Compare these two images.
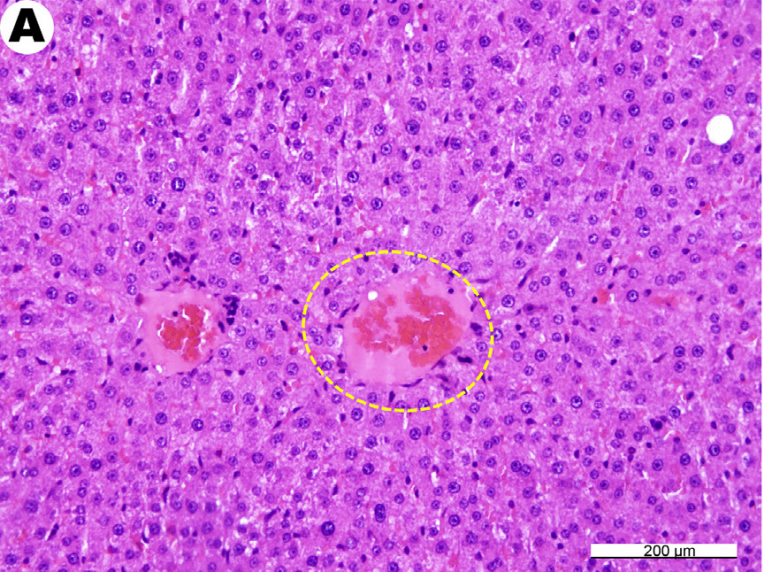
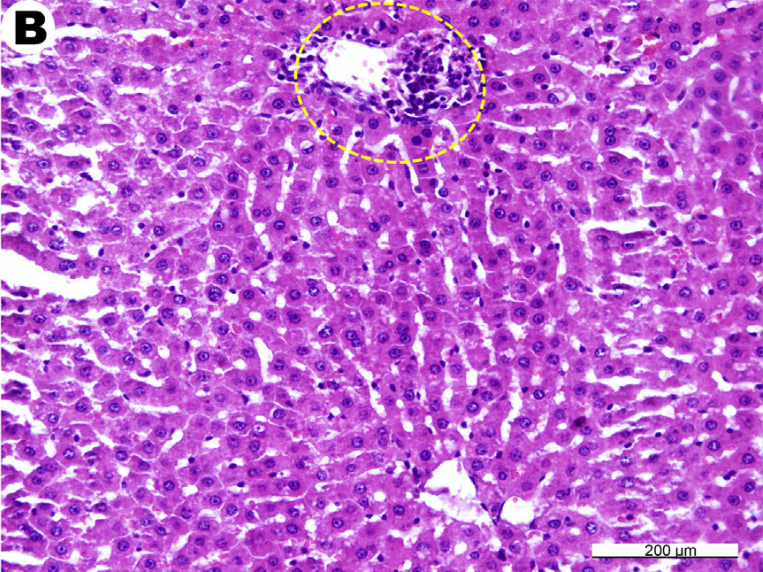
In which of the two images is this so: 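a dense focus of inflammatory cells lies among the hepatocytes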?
The second image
